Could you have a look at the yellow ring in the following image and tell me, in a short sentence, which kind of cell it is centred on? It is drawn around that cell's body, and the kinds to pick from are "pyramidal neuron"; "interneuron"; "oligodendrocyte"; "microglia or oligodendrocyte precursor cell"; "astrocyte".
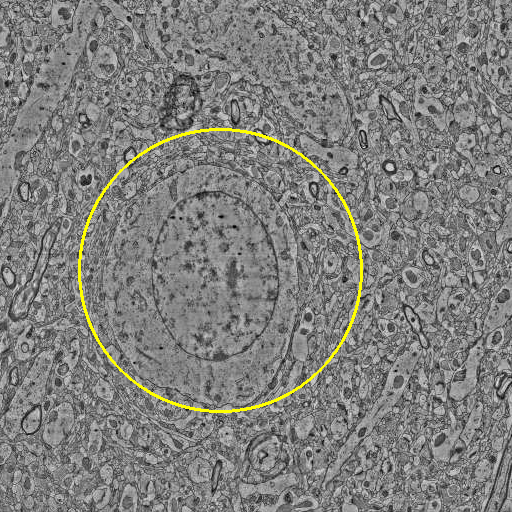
The ring is centred on the body of a pyramidal neuron.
